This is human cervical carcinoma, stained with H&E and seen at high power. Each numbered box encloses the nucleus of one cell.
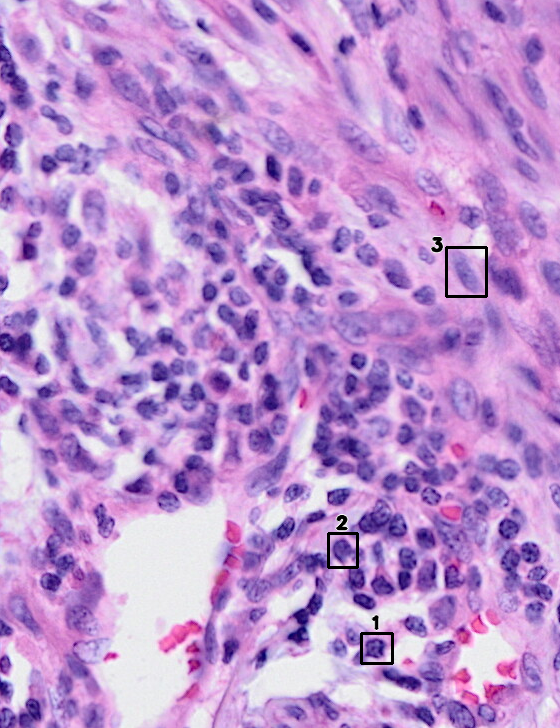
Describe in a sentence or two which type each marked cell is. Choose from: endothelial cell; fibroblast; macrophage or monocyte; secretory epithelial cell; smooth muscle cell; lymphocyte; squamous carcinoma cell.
Cells 1 and 2 are lymphocytes. Cell 3 is a fibroblast.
